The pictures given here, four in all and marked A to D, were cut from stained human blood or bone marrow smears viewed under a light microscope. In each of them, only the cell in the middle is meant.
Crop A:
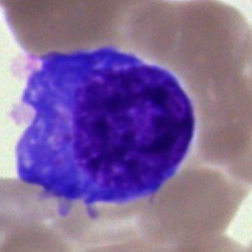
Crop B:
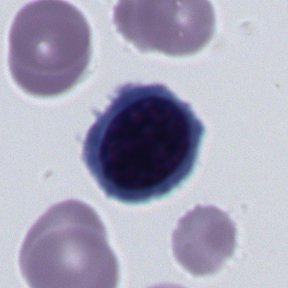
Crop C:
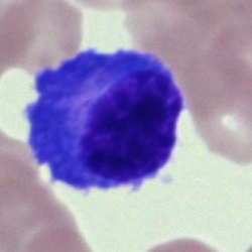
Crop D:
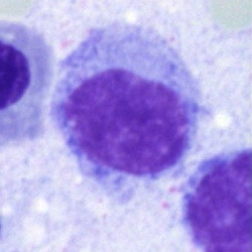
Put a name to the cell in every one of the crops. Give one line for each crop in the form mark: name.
A: plasma cell
B: erythroblast
C: plasma cell
D: hairy cell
